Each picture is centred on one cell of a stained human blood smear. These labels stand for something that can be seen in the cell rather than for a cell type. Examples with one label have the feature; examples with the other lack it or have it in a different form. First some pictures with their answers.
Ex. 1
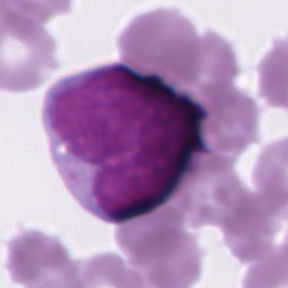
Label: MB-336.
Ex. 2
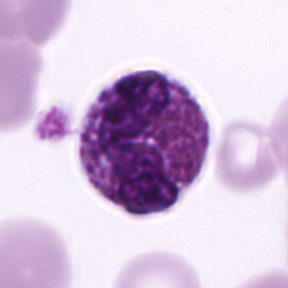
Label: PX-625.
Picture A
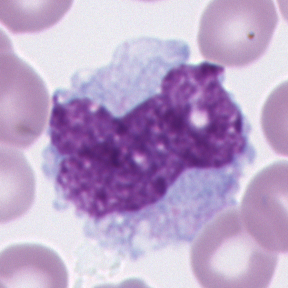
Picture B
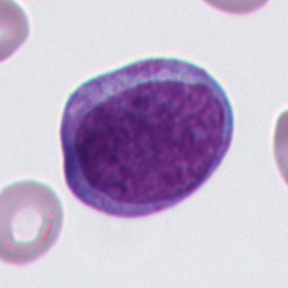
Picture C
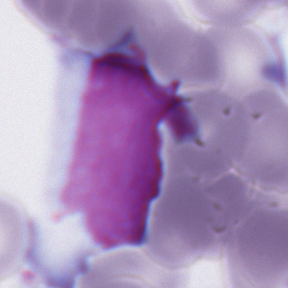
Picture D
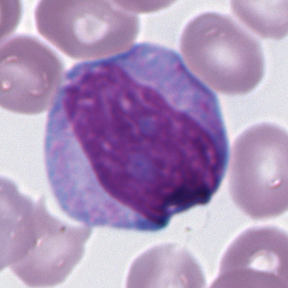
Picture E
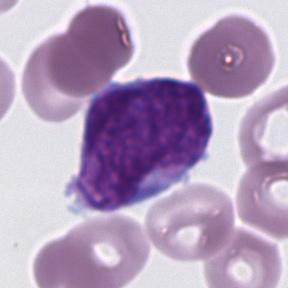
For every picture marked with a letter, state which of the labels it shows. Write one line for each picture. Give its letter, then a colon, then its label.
A: MB-336.
B: PX-625.
C: MB-336.
D: PX-625.
E: MB-336.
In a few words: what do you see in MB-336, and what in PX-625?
In MB-336: ragged outline or projections. In PX-625: smooth outline.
